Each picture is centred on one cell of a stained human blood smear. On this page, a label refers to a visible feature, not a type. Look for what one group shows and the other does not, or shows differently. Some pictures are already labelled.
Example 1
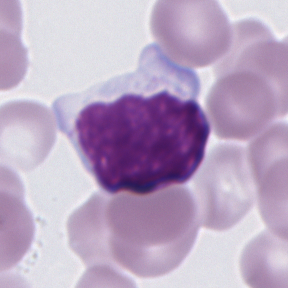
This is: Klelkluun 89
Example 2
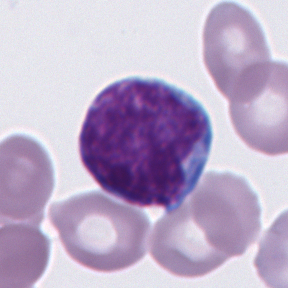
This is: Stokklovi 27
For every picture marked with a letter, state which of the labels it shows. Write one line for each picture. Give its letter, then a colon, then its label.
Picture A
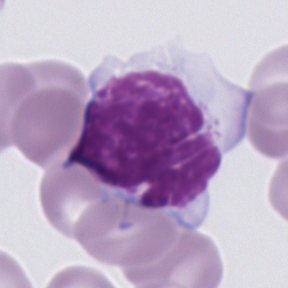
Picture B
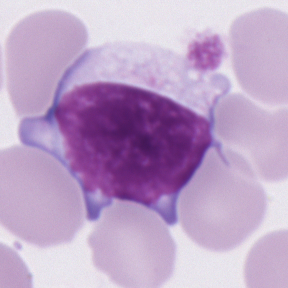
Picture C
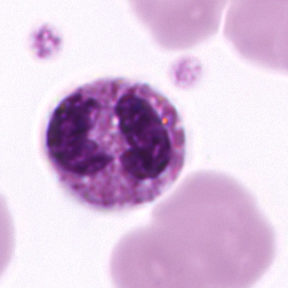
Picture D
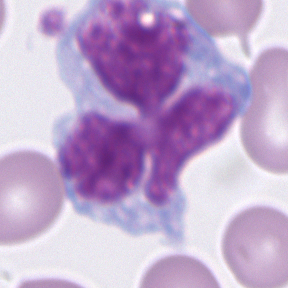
A: Klelkluun 89
B: Klelkluun 89
C: Stokklovi 27
D: Klelkluun 89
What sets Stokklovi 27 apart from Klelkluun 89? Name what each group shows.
Stokklovi 27: smooth outline; Klelkluun 89: ragged outline or projections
